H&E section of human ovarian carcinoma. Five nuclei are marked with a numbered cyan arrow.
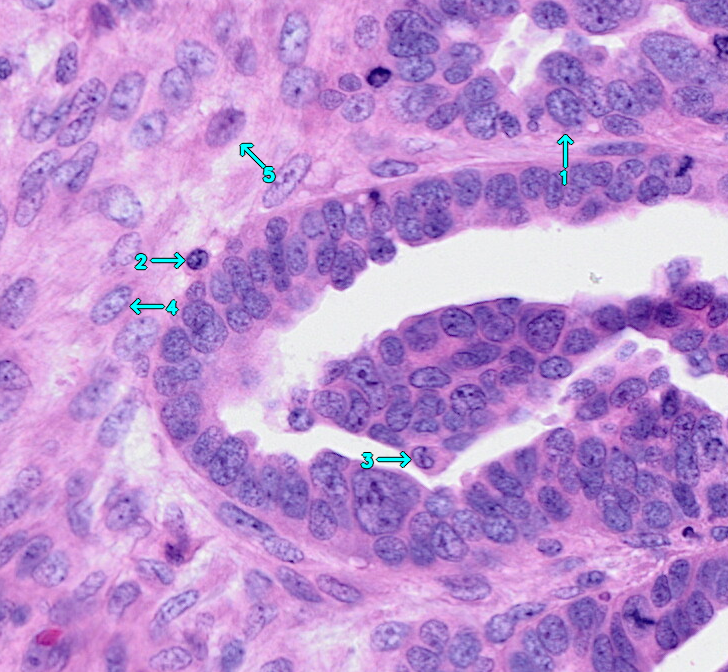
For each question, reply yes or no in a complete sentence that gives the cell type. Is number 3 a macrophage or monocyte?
Yes, to put it simply, cell number 3 is a macrophage or monocyte.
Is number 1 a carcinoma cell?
Yes, within this section, cell number 1 is a carcinoma cell.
